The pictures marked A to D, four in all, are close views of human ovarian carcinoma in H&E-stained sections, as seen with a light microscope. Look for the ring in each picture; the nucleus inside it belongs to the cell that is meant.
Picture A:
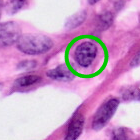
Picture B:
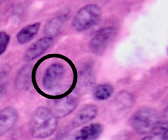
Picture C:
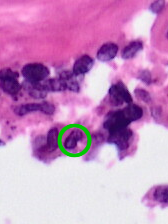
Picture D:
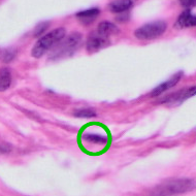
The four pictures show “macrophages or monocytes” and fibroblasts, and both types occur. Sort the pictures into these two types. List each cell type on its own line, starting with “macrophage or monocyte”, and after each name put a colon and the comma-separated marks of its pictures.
macrophage or monocyte: A, B, C
fibroblast: D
